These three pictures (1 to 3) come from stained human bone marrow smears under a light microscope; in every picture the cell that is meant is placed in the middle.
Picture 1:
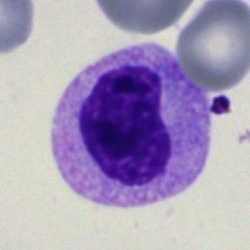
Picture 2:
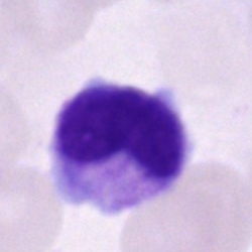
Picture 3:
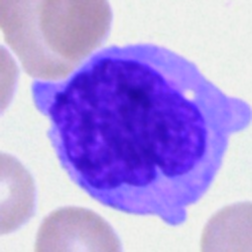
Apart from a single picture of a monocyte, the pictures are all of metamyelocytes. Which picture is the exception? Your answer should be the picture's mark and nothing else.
3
